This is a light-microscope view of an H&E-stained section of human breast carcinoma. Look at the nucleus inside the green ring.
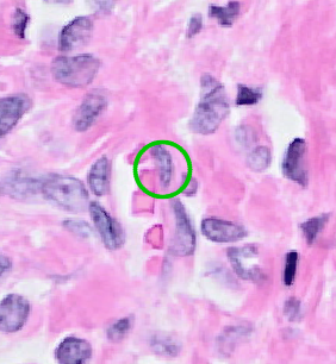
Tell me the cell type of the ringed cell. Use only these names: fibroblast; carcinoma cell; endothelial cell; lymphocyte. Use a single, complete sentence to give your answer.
Typologically, the ringed cell is an endothelial cell in this section.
